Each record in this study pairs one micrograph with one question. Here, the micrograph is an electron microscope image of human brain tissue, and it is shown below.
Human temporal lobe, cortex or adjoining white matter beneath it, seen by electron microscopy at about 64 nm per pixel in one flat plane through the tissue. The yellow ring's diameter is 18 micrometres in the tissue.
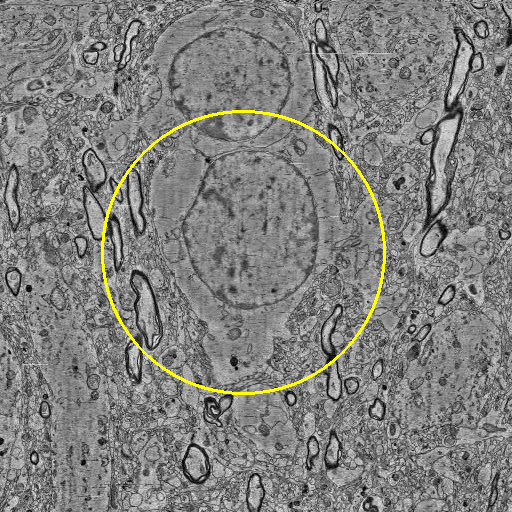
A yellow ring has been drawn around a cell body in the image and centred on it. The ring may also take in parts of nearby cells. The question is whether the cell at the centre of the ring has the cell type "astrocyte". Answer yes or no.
yes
